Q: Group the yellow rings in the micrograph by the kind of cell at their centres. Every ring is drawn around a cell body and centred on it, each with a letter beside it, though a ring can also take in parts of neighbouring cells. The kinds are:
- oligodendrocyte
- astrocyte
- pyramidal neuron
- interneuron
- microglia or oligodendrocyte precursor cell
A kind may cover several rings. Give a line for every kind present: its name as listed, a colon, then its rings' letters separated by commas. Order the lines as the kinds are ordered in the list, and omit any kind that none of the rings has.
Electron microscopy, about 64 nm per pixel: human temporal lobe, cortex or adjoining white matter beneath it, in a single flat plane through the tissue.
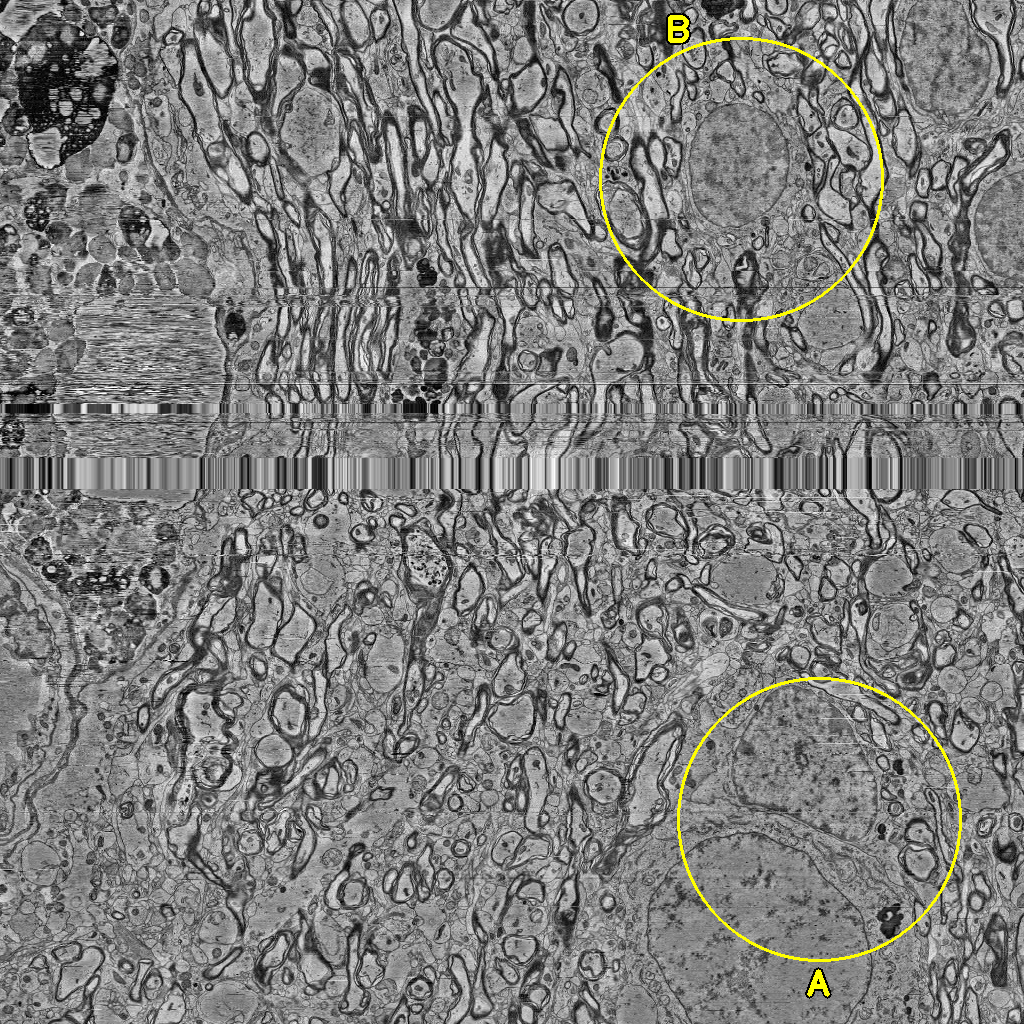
oligodendrocyte: B
microglia or oligodendrocyte precursor cell: A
